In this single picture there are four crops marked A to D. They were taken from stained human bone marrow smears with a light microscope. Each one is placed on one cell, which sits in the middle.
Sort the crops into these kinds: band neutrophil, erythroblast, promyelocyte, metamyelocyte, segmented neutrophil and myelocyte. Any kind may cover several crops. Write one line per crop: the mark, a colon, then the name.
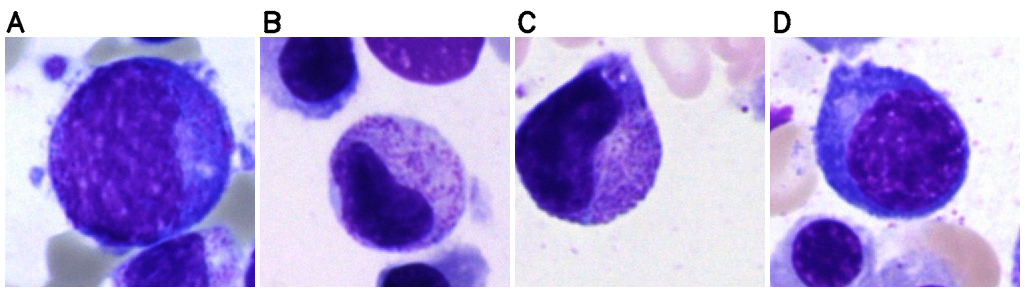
A: promyelocyte
B: metamyelocyte
C: metamyelocyte
D: erythroblast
